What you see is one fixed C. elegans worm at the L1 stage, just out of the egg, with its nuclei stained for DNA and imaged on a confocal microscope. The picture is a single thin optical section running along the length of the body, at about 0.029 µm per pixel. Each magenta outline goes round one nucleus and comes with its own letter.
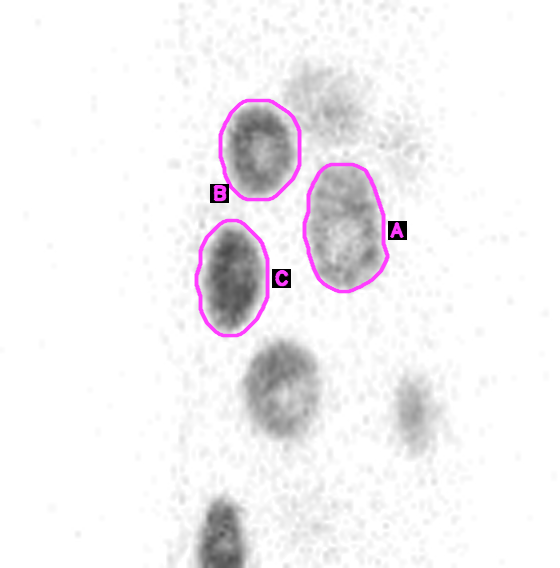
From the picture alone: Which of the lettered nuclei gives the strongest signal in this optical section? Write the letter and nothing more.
C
